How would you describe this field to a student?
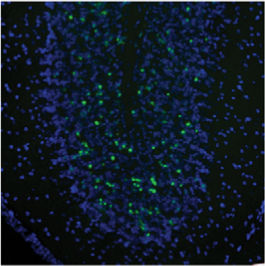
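This is a section through a cerebellar folium, with the granule cell layer forming the dense inner core of tightly packed small blue nuclei. Around it lies a thin border and then the outer molecular layer, where nuclei are few and widely scattered. The outer molecular layer carries no green nuclei.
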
